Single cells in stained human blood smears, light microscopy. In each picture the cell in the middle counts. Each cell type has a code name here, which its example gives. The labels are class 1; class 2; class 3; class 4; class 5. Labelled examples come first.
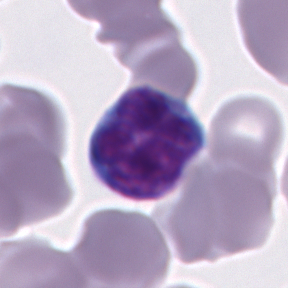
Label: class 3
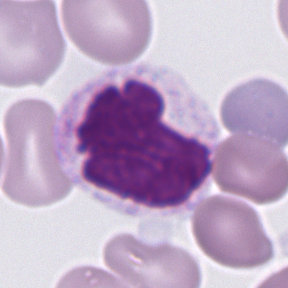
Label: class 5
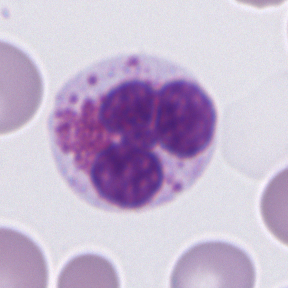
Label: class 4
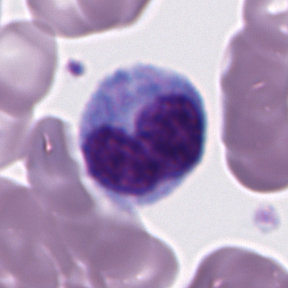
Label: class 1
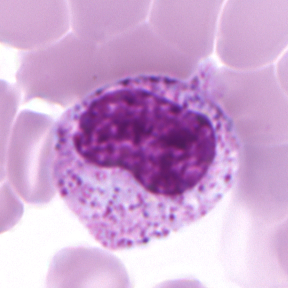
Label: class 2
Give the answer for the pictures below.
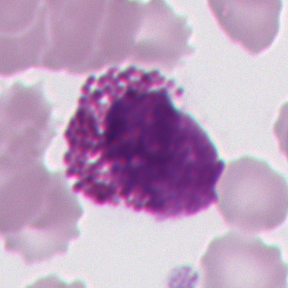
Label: class 4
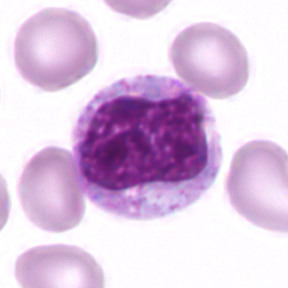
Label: class 2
